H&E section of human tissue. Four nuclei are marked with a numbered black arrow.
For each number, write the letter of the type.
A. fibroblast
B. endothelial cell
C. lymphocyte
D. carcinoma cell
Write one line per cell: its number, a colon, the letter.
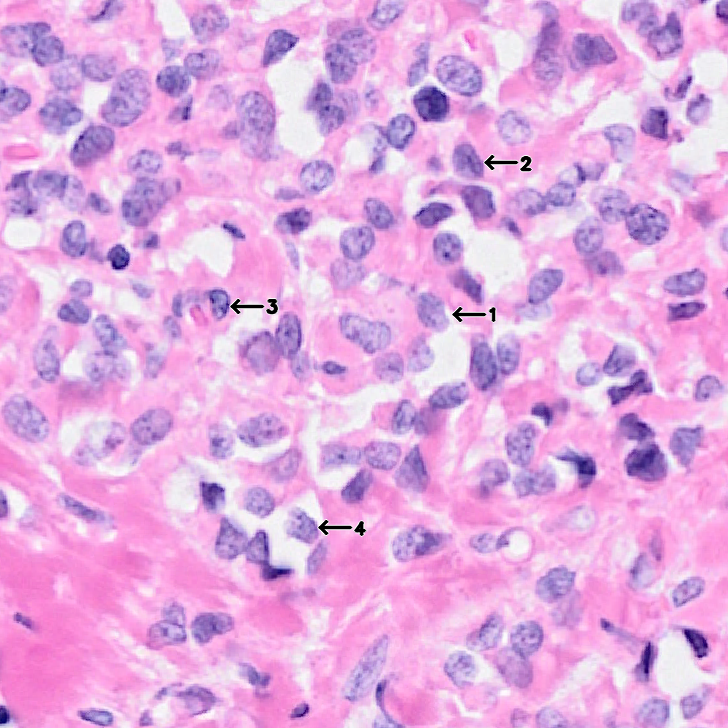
1: D
2: D
3: B
4: D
